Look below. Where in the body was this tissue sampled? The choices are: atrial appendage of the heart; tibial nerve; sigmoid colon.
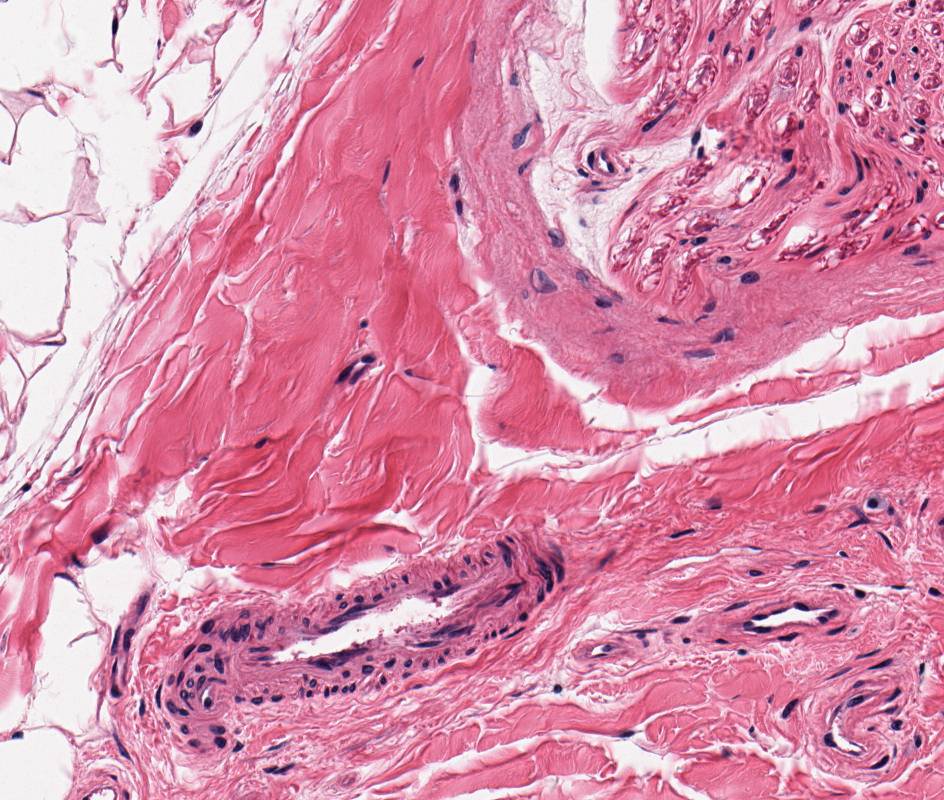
tibial nerve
